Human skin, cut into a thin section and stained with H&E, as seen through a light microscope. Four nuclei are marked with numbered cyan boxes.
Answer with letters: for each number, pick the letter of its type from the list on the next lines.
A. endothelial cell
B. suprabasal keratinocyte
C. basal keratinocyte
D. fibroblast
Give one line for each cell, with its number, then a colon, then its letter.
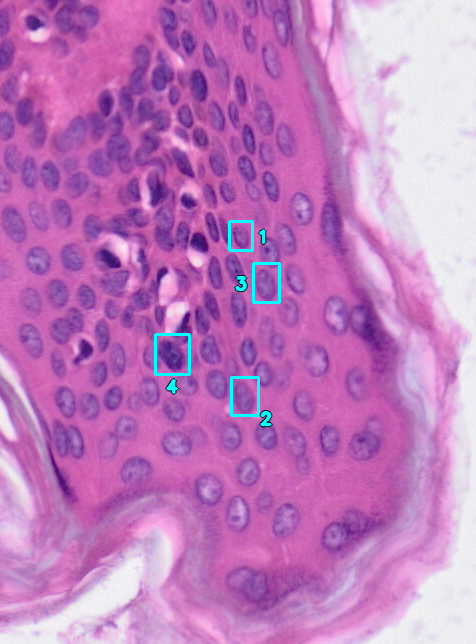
1: B
2: B
3: B
4: C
